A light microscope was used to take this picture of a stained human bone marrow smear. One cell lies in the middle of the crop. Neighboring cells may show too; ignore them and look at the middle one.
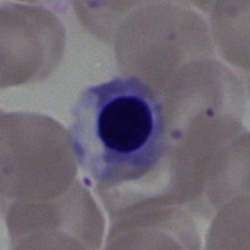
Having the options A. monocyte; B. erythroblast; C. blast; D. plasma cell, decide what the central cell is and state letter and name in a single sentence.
That cell in the center is an erythroblast, hence option B.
